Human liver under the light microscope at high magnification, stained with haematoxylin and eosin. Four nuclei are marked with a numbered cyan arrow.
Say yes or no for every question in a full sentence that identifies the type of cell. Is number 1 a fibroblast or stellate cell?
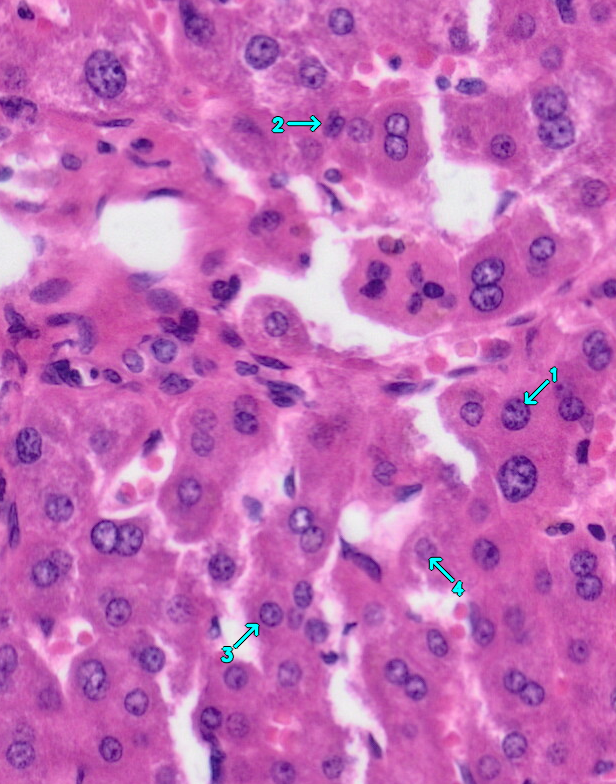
No, the cell bearing the number 1 is a hepatocyte, not a fibroblast or stellate cell.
